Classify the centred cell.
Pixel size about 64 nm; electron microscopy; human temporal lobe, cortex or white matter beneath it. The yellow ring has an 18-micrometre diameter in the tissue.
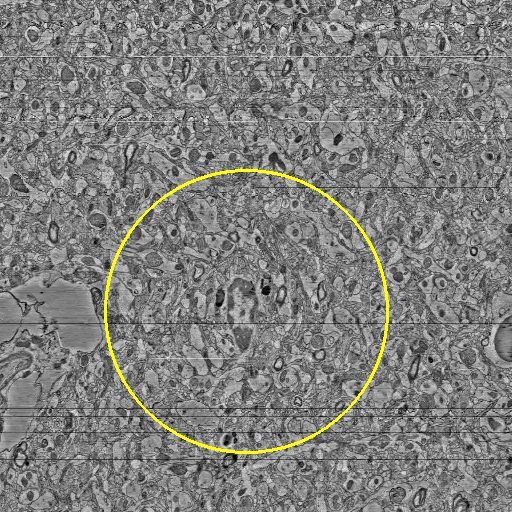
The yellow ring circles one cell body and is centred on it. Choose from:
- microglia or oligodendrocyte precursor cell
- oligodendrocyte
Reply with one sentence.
The ring is centred on a microglial cell or oligodendrocyte precursor cell.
